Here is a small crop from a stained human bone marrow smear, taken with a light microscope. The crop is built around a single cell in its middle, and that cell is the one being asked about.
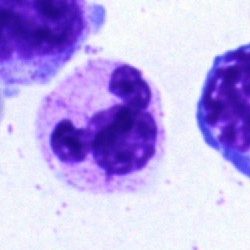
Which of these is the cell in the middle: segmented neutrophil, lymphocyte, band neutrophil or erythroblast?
segmented neutrophil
